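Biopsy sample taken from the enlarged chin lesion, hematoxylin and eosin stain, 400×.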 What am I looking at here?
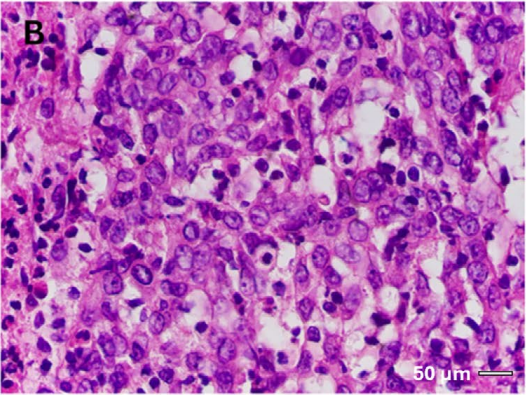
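This is a dense dermal infiltrate made up mostly of large cells with pale pink cytoplasm and round to oval nuclei with fine, open chromatin and occasional small nucleoli. Scattered among them are smaller cells with dark, compact nuclei, and clear spaces separate some of the cells.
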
